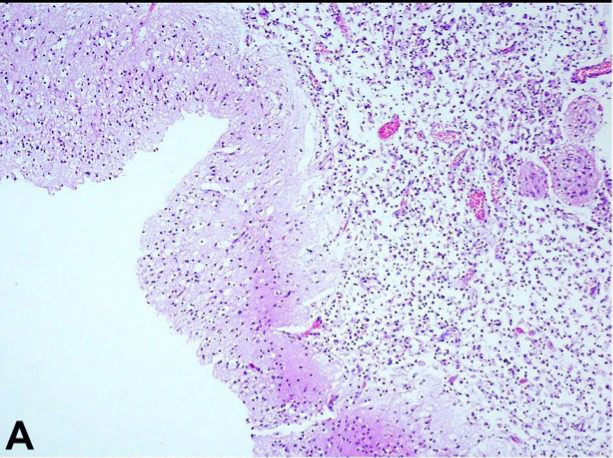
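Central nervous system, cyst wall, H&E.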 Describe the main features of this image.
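An empty cavity lies at the left, and its edge is formed by pale pink, fibrillary tissue with scattered small nuclei. The tissue is loose and full of small clear spaces, the look of edema. Toward the right the tissue holds more cells and several small congested blood vessels.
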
